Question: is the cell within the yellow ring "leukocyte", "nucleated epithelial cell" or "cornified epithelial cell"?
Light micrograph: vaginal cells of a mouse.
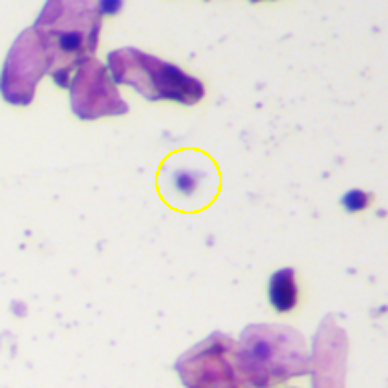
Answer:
leukocyte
